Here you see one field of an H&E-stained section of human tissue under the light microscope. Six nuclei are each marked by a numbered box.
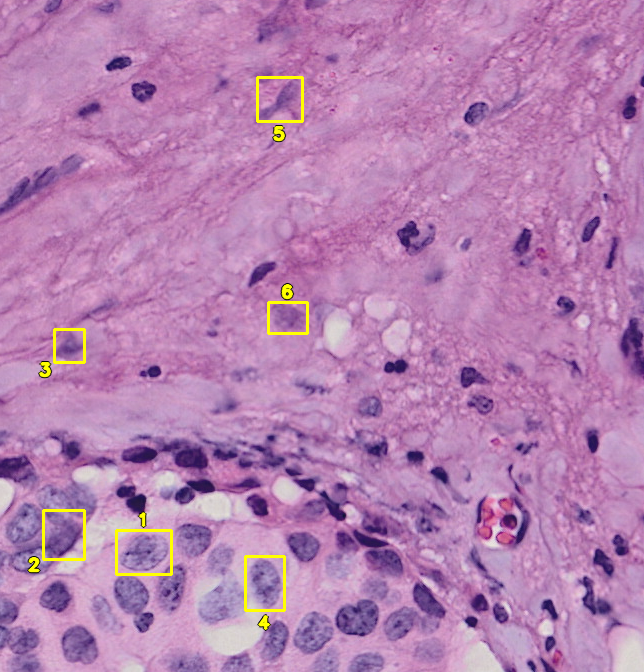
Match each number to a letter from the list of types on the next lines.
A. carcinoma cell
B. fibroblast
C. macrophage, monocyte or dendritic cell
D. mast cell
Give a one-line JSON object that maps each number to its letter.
{"1": "A", "2": "A", "3": "B", "4": "A", "5": "B", "6": "B"}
